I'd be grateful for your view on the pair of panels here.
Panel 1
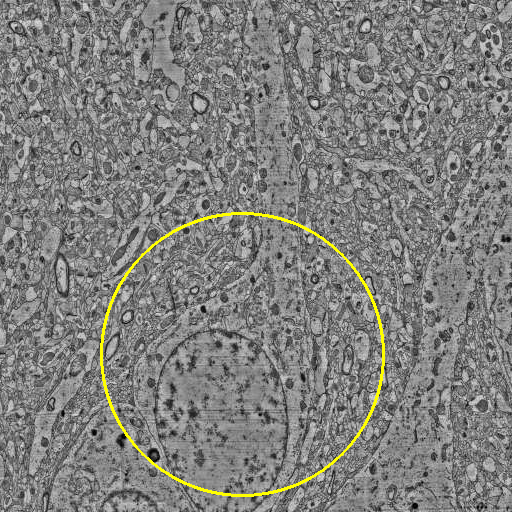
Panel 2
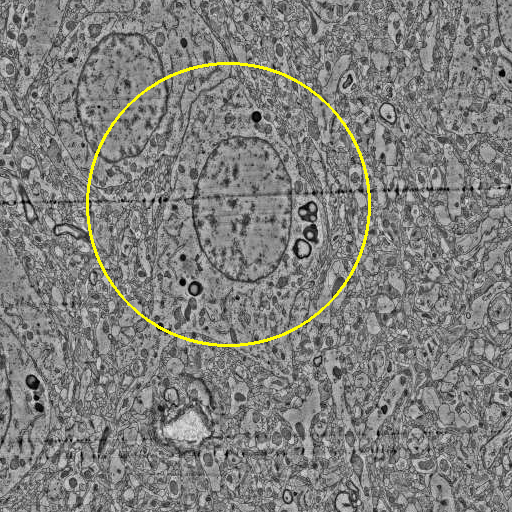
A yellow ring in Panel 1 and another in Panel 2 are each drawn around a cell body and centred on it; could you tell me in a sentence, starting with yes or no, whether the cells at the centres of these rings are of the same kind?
Yes, they are the same kind of cell.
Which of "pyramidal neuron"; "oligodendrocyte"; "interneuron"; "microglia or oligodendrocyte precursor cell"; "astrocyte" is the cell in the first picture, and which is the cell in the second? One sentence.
Each cell at the centre of a ring is a pyramidal neuron.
